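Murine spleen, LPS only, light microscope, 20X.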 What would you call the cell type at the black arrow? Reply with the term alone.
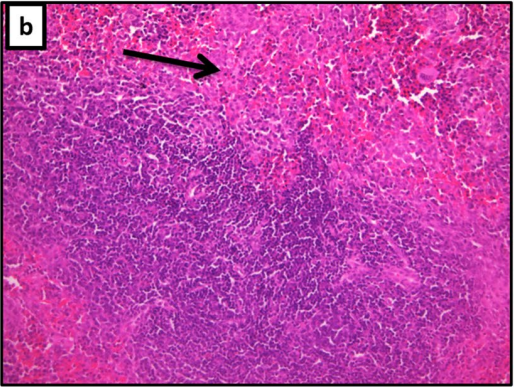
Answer: macrophages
